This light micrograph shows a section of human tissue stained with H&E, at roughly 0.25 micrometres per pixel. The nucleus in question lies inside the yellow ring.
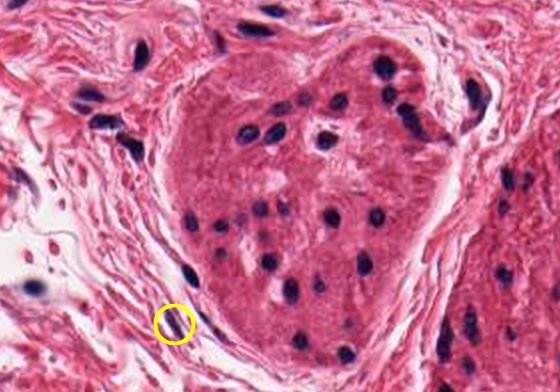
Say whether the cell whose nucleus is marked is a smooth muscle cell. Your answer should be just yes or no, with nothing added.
no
